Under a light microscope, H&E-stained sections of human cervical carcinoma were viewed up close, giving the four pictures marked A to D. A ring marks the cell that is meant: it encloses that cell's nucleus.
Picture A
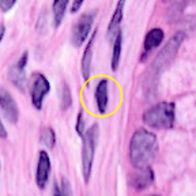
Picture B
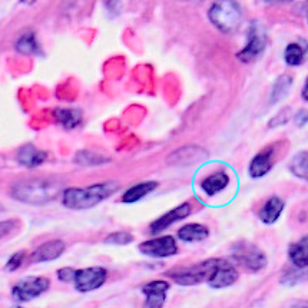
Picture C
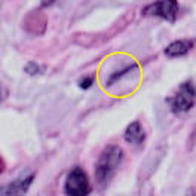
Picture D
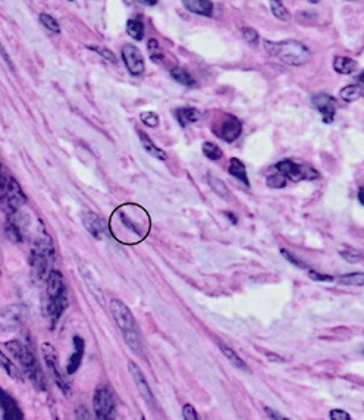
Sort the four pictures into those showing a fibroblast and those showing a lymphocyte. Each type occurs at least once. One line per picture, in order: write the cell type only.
fibroblast
lymphocyte
fibroblast
fibroblast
